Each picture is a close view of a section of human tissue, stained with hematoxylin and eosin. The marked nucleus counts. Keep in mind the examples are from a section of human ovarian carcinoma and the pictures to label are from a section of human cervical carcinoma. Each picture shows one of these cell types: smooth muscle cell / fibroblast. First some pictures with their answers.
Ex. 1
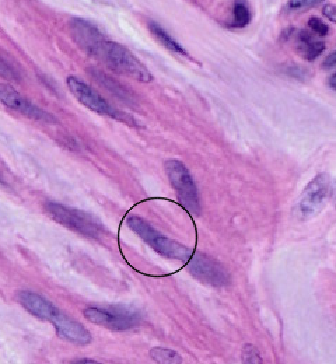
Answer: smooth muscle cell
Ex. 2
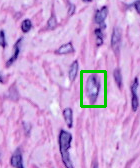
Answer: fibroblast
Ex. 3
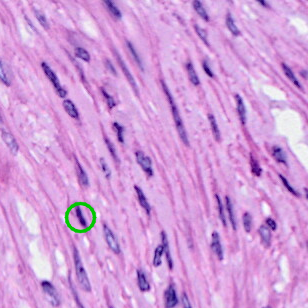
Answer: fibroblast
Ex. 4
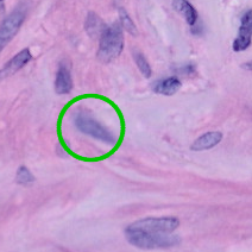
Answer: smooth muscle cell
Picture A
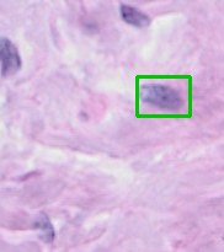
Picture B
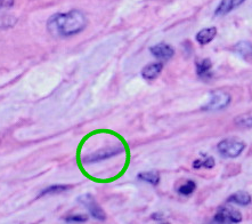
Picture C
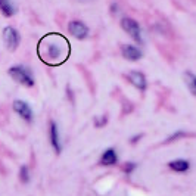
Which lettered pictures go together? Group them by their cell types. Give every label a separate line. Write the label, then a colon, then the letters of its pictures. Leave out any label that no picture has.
smooth muscle cell: C
fibroblast: A, B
